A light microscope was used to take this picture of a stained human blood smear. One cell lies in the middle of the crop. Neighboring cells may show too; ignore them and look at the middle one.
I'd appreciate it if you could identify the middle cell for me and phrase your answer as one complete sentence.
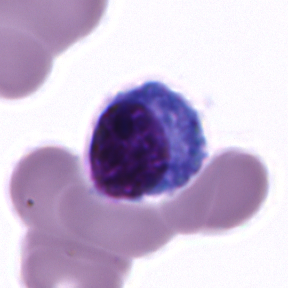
The cell around which this crop is centred is a plasma cell.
